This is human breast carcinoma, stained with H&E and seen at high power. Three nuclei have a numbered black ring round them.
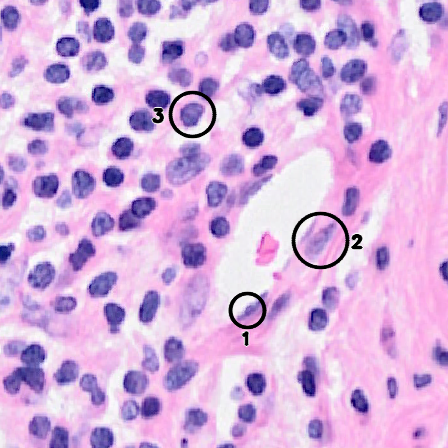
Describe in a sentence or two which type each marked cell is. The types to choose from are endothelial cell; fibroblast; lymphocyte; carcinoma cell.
Cells 1 and 2 are endothelial cells. Cell 3 is a lymphocyte.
